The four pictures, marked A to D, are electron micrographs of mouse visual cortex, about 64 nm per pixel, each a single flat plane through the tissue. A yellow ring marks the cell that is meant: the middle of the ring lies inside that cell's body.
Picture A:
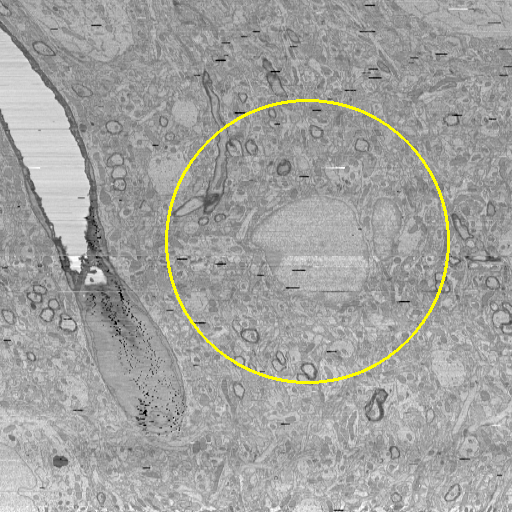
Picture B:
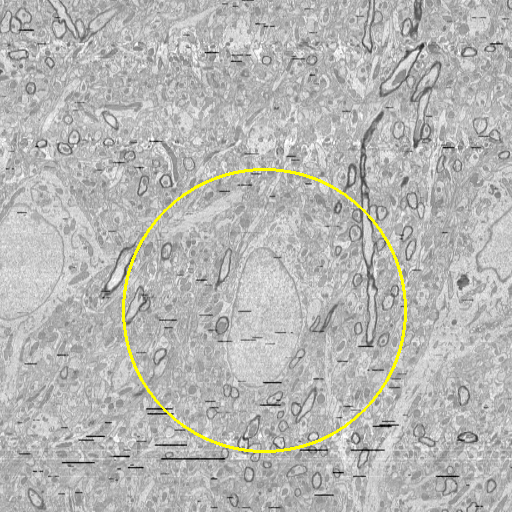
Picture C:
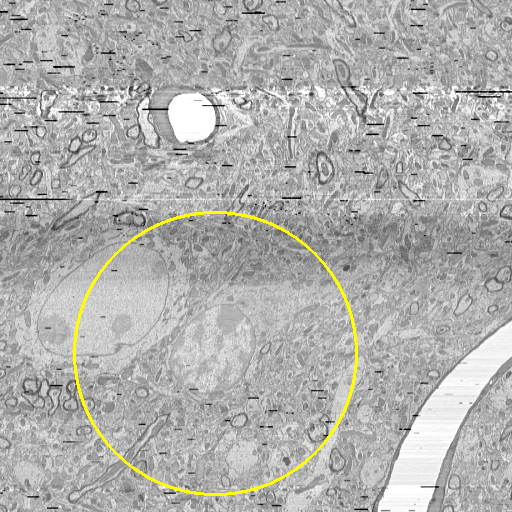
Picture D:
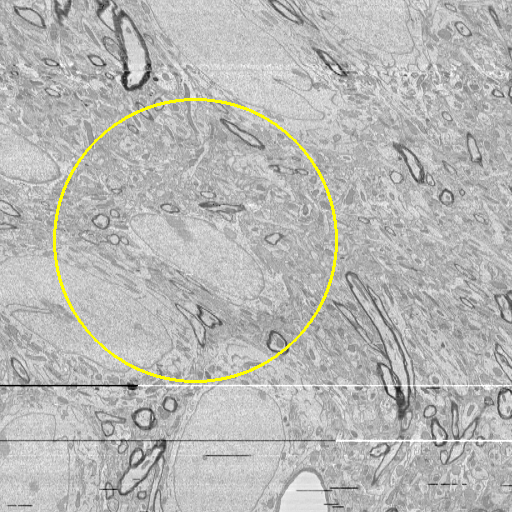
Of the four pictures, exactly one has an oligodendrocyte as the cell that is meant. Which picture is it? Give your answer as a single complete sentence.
The oligodendrocyte is the one in picture C.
